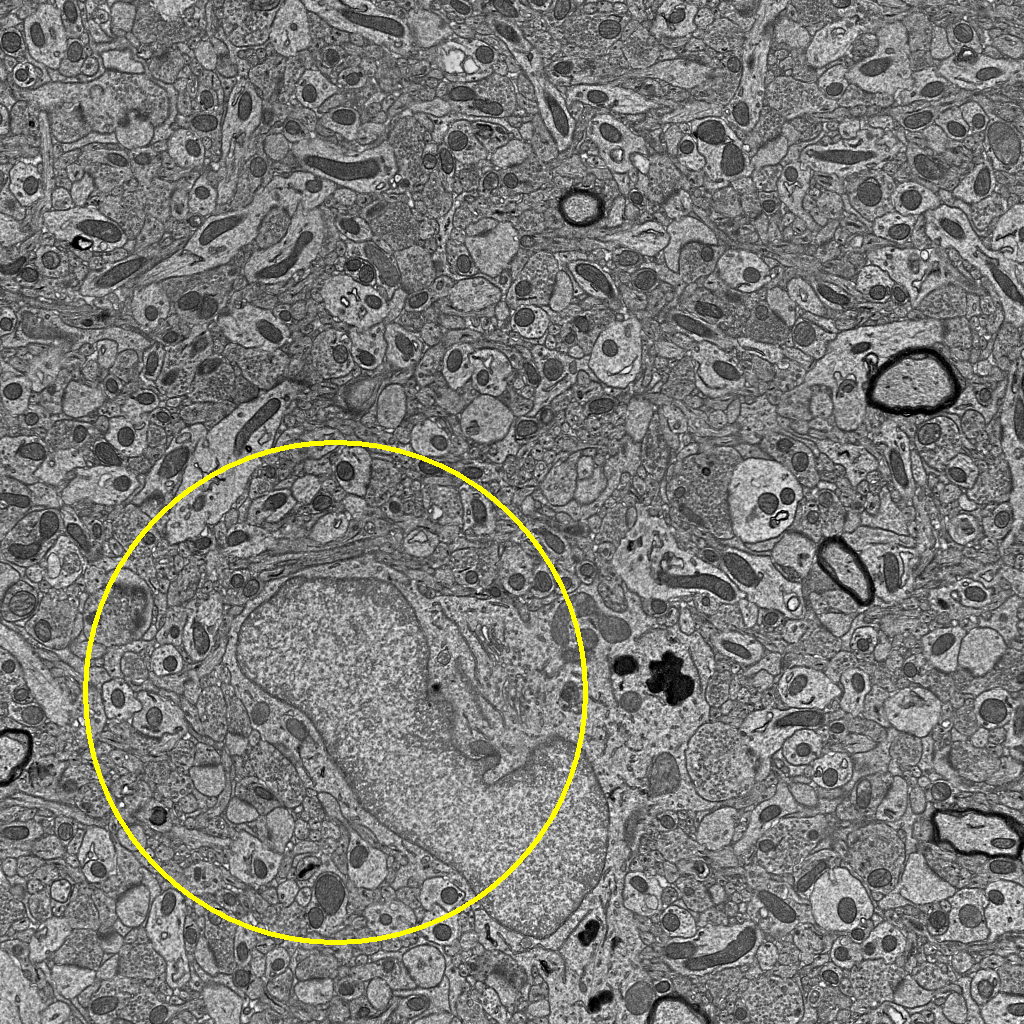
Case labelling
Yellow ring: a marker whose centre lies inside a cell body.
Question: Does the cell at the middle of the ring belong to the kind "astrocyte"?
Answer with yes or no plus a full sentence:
Yes, in this picture the cell at the middle of the yellow ring belongs to that kind.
